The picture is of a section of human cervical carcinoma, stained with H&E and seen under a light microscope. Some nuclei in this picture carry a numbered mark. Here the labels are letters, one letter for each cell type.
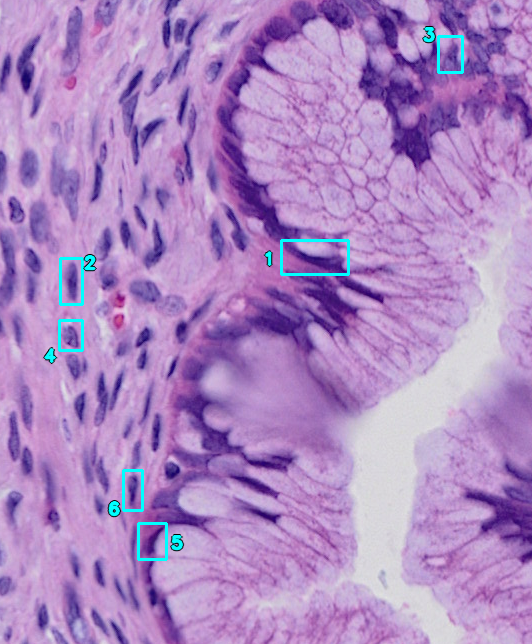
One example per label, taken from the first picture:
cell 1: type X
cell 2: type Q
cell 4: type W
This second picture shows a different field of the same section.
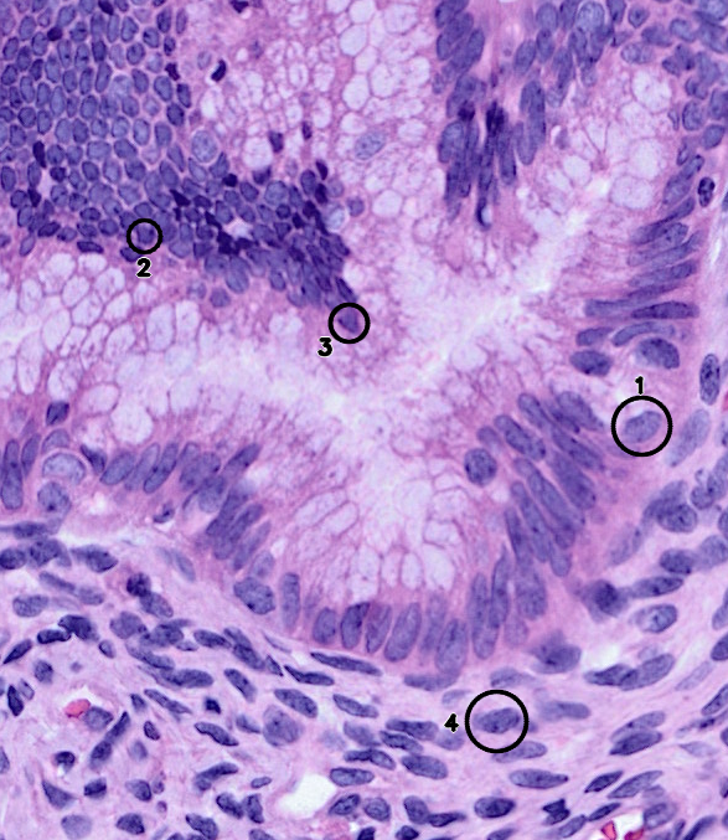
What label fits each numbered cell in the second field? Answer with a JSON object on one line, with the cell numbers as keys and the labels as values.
{"1": "type X", "2": "type X", "3": "type X", "4": "type Q"}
